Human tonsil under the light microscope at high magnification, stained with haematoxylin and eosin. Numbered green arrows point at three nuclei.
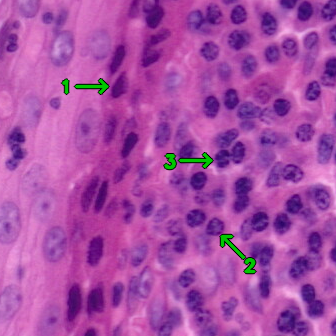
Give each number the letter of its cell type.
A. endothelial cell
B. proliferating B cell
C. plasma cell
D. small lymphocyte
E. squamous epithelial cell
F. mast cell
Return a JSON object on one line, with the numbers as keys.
{"1": "E", "2": "C", "3": "C"}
